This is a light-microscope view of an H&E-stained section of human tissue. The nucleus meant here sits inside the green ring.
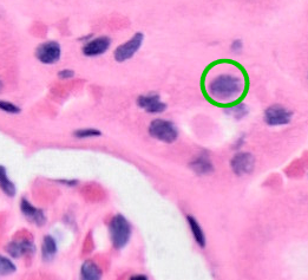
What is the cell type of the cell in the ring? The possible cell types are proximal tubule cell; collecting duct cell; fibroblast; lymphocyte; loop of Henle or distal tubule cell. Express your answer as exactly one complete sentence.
On this particular slide, the cell in the ring is a loop of Henle or distal tubule cell.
